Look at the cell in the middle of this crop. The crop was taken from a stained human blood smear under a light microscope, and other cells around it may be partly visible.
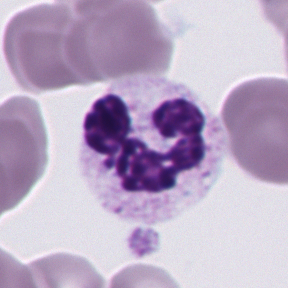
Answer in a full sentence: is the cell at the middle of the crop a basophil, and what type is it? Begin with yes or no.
No, the cell found centrally in the crop is a neutrophil, not a basophil.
